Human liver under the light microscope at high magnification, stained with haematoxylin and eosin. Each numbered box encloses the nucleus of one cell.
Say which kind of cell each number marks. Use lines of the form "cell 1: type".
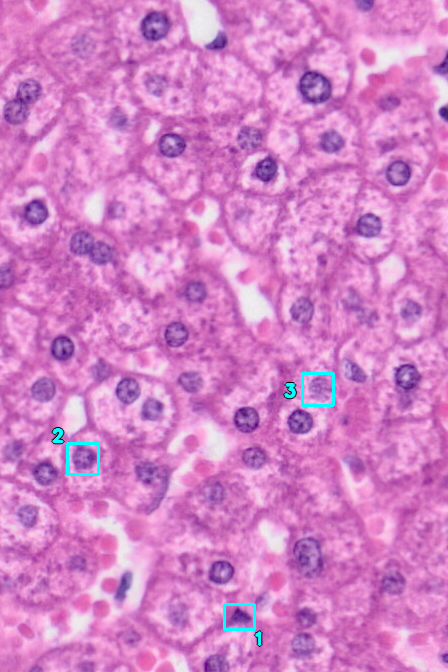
cell 1: fibroblast or stellate cell
cell 2: hepatocyte
cell 3: hepatocyte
